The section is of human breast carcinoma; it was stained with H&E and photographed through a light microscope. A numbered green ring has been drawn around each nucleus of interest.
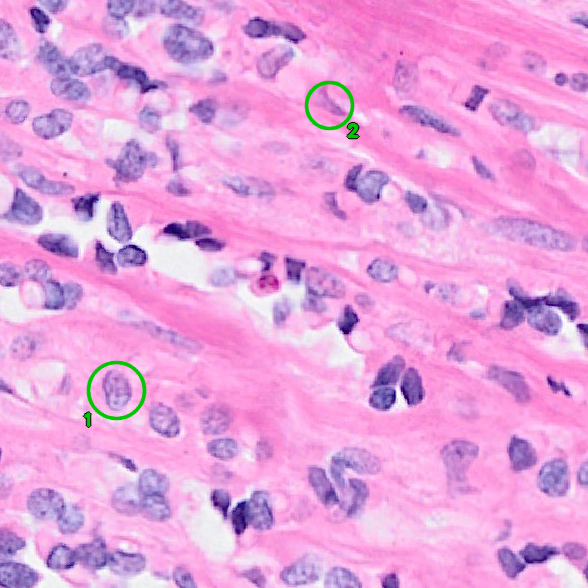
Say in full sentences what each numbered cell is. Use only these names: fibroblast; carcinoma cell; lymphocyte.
Cell 1 is a carcinoma cell and cell 2 is a fibroblast.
